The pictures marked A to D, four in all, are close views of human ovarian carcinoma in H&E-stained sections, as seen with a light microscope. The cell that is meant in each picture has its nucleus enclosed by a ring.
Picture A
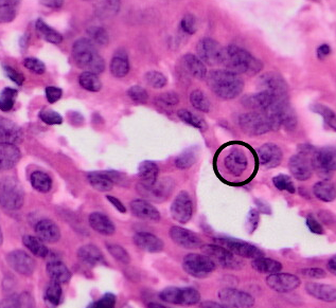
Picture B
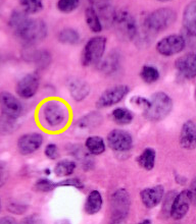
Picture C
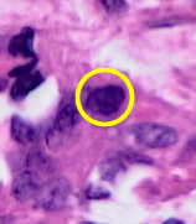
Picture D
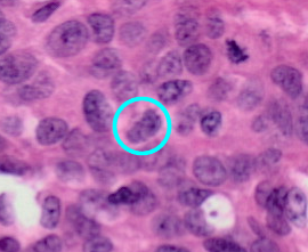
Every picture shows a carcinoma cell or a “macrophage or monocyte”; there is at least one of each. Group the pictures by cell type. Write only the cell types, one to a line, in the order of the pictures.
macrophage or monocyte
macrophage or monocyte
carcinoma cell
macrophage or monocyte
